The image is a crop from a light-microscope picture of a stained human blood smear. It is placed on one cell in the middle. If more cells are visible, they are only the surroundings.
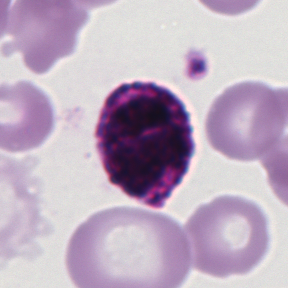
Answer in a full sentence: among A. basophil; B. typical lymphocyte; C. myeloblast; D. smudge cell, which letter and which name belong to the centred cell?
The correct option, A, names the middle cell as a basophil.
